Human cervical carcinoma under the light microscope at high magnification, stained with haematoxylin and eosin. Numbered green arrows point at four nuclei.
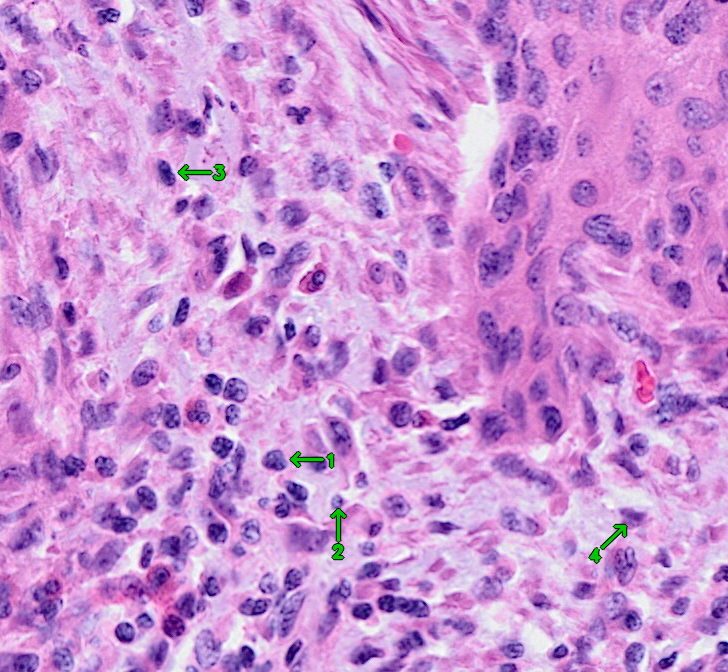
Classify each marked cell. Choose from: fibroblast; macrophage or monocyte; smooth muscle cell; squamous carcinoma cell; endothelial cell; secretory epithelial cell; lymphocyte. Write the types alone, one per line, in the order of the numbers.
lymphocyte
lymphocyte
lymphocyte
fibroblast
